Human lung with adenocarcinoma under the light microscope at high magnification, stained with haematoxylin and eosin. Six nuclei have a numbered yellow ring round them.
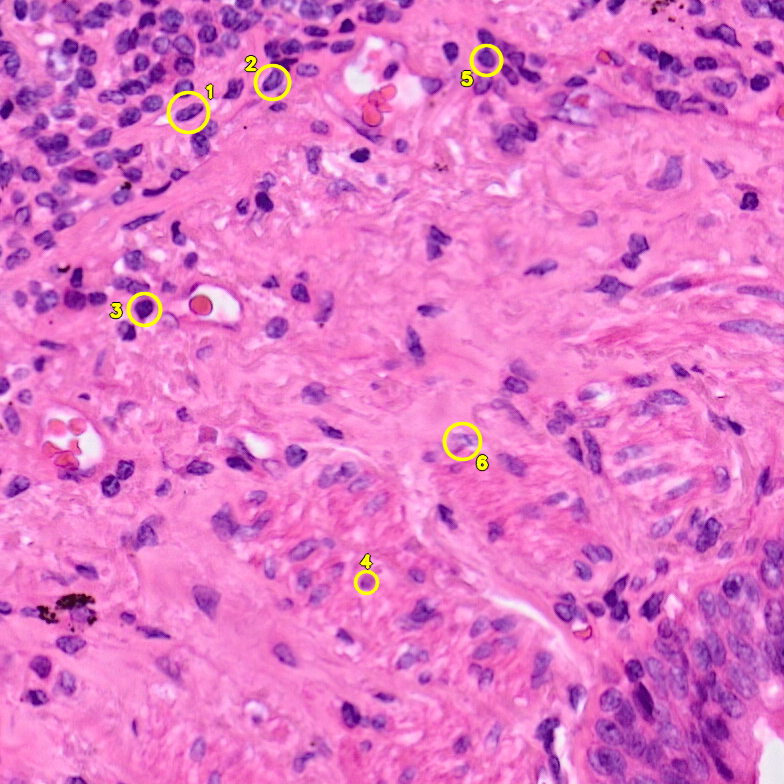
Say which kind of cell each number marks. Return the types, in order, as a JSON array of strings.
["lymphocyte", "lymphocyte", "lymphocyte", "smooth muscle cell or pericyte", "lymphocyte", "smooth muscle cell or pericyte"]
